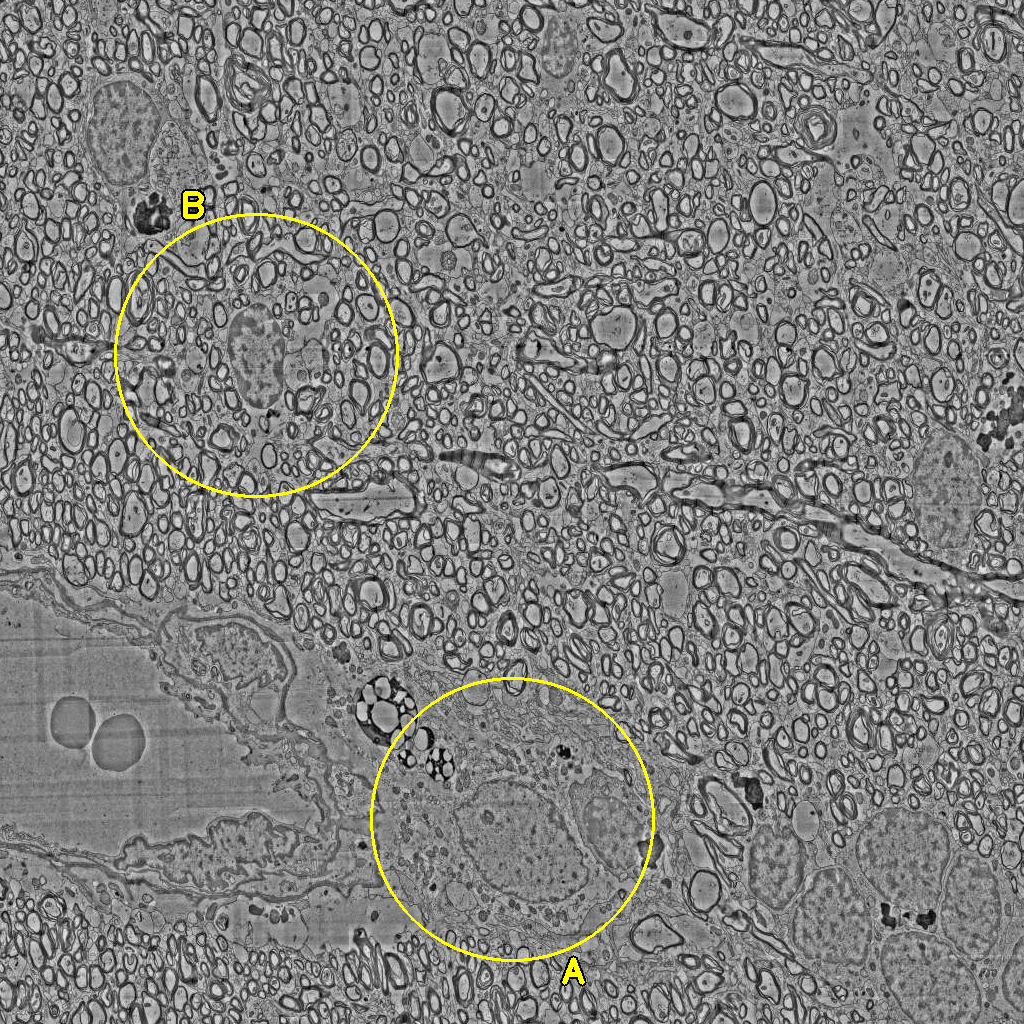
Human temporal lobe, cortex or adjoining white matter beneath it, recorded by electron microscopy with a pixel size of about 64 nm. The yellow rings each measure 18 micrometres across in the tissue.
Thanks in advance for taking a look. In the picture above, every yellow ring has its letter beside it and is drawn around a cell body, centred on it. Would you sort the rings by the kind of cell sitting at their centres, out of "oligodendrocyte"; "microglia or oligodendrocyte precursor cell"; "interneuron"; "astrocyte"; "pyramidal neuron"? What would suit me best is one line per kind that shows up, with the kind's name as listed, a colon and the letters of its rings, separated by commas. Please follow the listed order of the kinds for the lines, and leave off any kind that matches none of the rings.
microglia or oligodendrocyte precursor cell: B
astrocyte: A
